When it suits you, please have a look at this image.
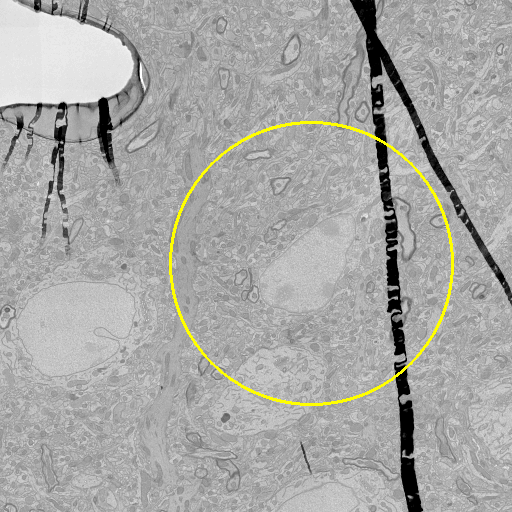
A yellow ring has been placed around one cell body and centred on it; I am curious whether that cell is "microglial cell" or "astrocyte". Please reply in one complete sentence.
The ringed cell, an astrocyte, has its body at the centre of the yellow ring.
